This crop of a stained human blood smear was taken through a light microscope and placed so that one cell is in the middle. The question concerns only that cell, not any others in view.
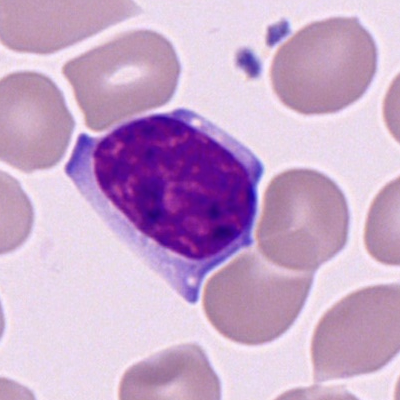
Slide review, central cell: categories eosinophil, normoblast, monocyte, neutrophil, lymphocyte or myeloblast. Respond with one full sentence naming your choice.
This particular crop is centered on a lymphocyte.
